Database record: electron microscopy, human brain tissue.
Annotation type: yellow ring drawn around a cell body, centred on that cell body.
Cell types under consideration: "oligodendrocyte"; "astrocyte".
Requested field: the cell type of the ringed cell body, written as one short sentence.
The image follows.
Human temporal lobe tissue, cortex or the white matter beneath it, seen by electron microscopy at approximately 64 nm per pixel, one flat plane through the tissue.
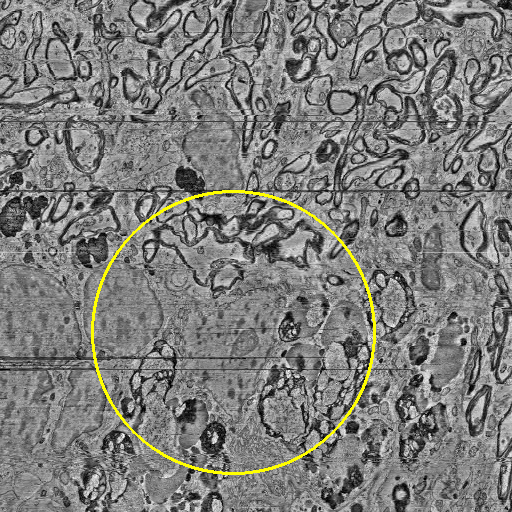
The ringed cell body represents an astrocyte.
